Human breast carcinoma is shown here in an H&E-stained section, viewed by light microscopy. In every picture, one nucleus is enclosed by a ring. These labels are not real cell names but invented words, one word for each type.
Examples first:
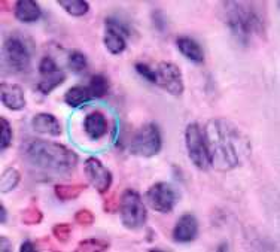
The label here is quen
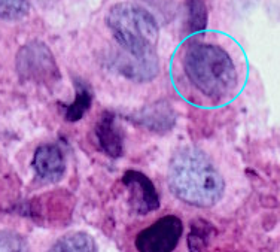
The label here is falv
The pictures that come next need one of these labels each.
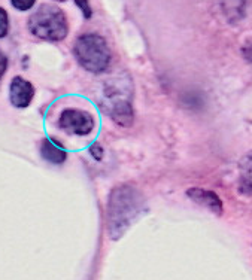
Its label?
quen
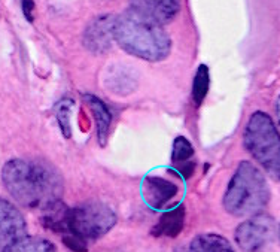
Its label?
falv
